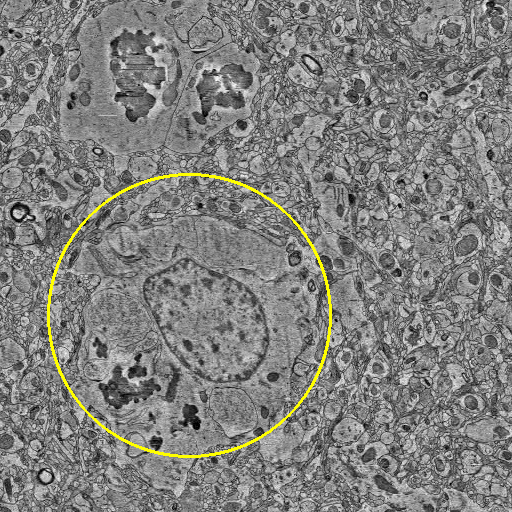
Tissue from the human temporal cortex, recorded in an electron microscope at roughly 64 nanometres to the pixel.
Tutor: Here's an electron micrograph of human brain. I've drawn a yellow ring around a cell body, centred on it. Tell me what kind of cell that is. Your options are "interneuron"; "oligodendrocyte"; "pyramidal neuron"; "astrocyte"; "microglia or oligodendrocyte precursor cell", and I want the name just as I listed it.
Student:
astrocyte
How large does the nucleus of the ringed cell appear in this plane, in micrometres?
Roughly 9 micrometres by 6 micrometres, in this plane.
